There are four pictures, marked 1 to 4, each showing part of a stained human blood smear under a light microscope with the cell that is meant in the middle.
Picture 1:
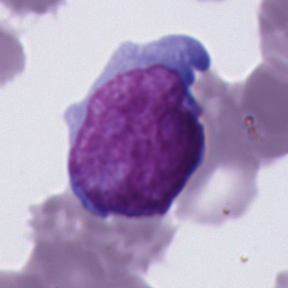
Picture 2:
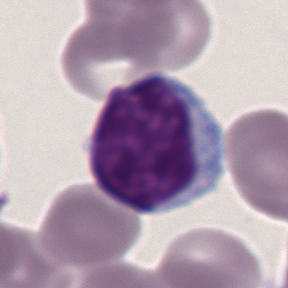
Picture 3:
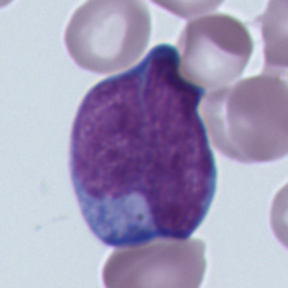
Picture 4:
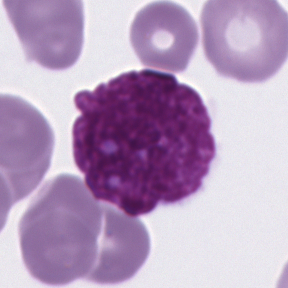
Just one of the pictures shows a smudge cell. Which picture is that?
4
